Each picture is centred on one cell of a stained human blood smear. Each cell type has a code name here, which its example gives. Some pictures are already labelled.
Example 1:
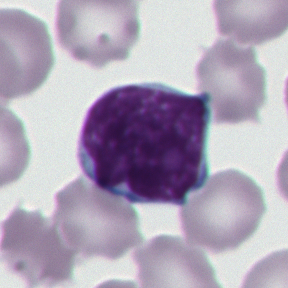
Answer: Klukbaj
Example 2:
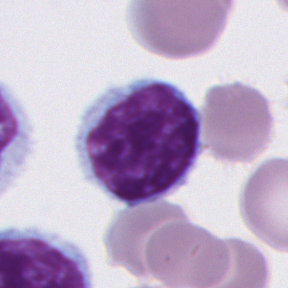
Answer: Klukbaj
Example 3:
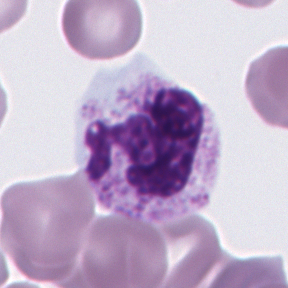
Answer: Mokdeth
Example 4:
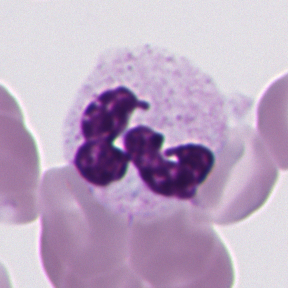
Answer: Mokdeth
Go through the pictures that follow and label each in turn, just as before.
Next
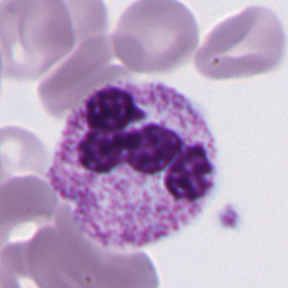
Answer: Mokdeth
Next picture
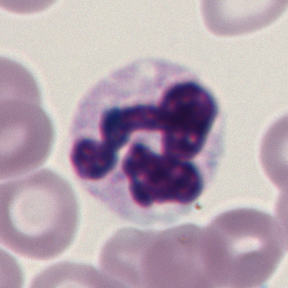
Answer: Mokdeth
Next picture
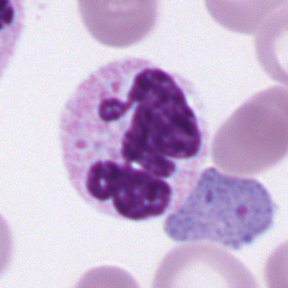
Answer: Mokdeth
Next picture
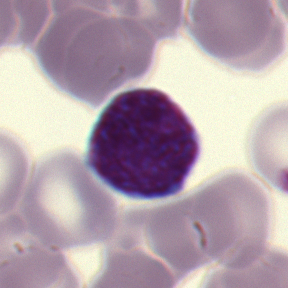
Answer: Klukbaj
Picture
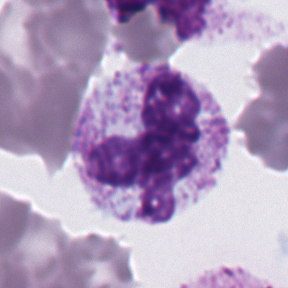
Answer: Mokdeth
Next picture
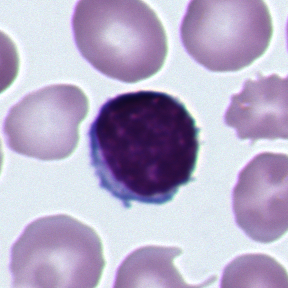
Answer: Klukbaj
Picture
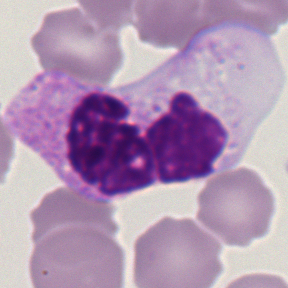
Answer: Mokdeth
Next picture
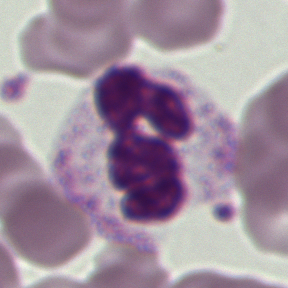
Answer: Mokdeth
